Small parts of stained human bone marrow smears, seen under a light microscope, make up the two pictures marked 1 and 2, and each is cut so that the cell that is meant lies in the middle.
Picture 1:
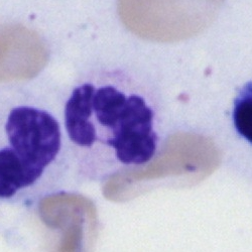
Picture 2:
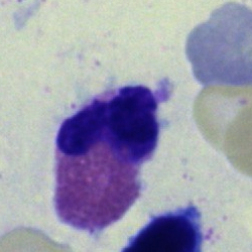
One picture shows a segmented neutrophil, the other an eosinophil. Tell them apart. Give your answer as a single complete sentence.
Picture 1 is of a segmented neutrophil, and picture 2 is of an eosinophil.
